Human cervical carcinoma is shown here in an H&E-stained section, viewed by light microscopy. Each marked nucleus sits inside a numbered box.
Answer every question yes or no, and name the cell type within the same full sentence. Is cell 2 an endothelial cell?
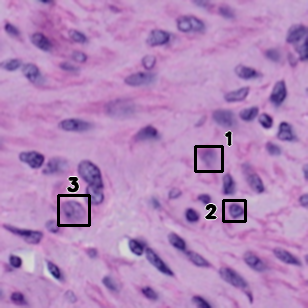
No, cell 2, which is a smooth muscle cell, is not an endothelial cell.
